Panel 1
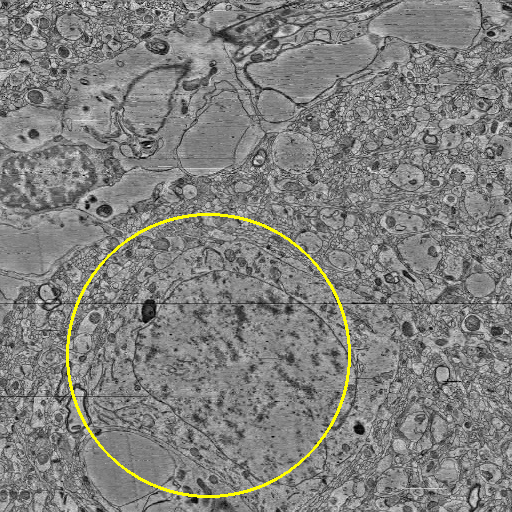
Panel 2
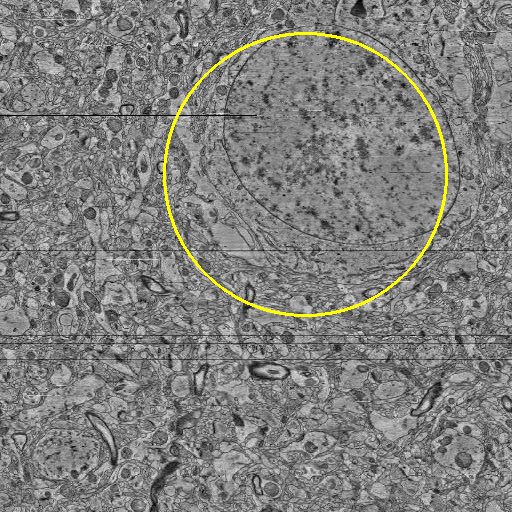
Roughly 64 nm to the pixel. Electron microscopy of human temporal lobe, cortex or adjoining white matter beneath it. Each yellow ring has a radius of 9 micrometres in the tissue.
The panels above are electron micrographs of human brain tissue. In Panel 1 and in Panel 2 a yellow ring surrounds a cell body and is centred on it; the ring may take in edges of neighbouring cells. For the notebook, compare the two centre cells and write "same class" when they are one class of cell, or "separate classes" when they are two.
same class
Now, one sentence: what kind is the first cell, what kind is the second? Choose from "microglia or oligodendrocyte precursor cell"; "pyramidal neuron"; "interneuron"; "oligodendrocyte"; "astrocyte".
Each cell at the centre of a ring is a pyramidal neuron.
